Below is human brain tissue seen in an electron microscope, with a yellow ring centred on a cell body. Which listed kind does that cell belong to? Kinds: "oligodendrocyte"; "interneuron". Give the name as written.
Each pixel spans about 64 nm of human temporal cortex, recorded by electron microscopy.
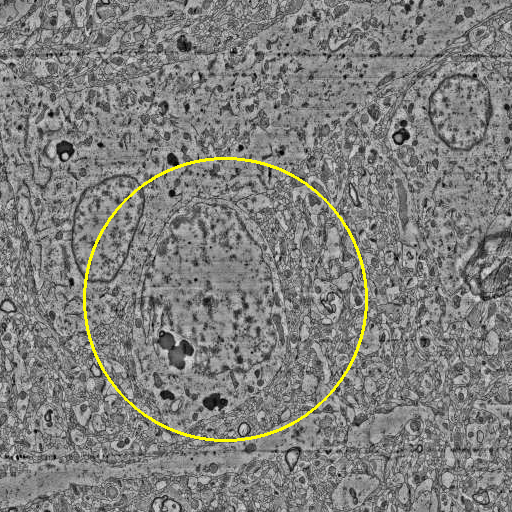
interneuron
